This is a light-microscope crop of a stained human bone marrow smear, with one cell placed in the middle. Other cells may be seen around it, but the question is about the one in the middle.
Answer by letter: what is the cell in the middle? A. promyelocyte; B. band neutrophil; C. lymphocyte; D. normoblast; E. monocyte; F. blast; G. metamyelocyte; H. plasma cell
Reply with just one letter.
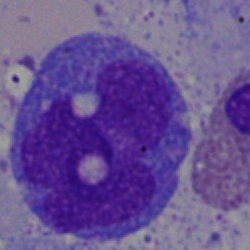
E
